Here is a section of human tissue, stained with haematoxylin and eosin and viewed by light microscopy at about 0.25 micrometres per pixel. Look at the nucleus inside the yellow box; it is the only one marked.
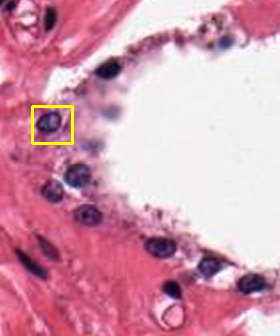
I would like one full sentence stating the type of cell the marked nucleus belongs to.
The nucleus marked in the section is that of a thyroid follicular cell.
